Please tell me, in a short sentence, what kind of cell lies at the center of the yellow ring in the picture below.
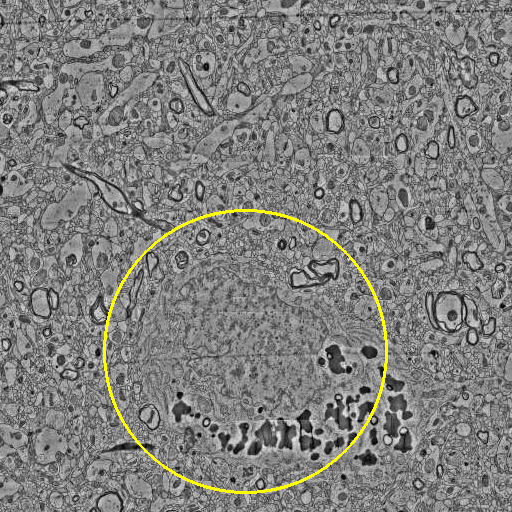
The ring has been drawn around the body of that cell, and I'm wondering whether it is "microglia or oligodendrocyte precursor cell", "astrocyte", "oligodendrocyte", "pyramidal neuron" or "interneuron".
The cell at the center of the ring is an interneuron.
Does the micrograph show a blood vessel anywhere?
No.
